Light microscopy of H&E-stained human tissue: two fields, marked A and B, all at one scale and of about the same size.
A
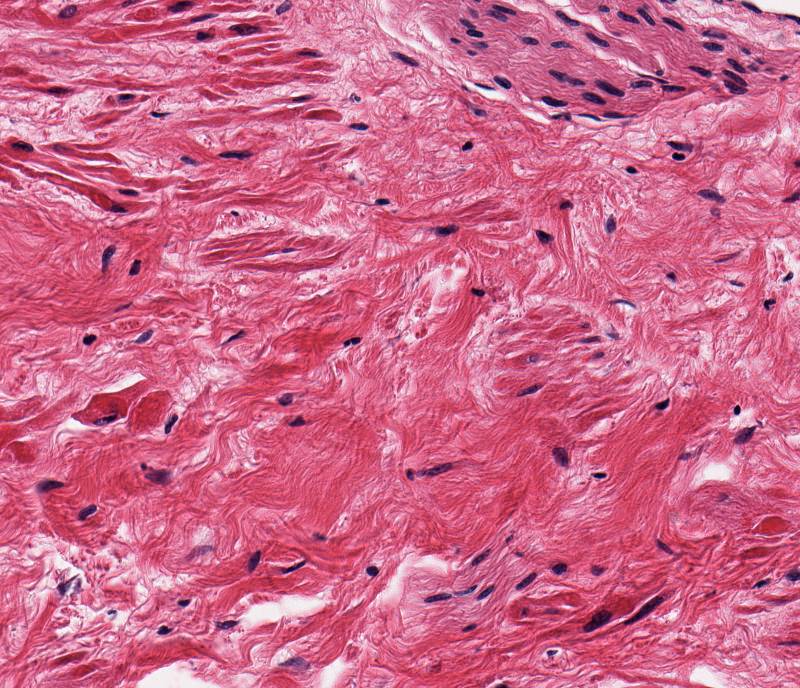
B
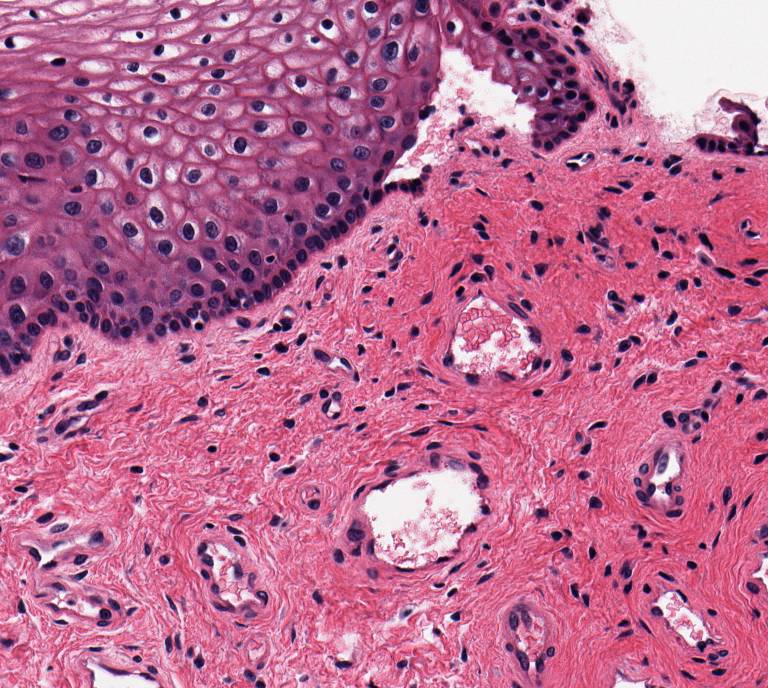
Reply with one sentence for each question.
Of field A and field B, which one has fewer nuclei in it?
The smaller number of nuclei is in field A.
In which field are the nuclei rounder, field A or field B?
It is field B whose nuclei are the rounder.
